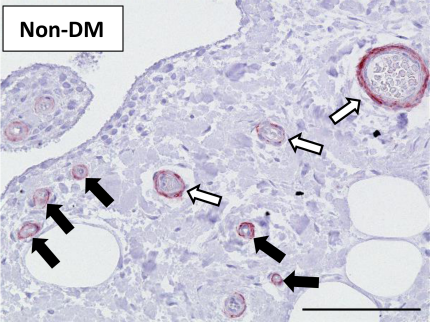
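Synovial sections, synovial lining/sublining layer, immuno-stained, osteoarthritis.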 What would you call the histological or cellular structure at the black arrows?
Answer: Capillaries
